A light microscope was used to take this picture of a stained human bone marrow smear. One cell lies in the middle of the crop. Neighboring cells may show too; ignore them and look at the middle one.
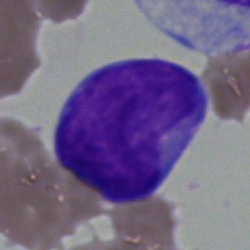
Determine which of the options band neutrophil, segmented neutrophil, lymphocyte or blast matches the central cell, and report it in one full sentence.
The central element of this crop is a cell, namely a blast.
